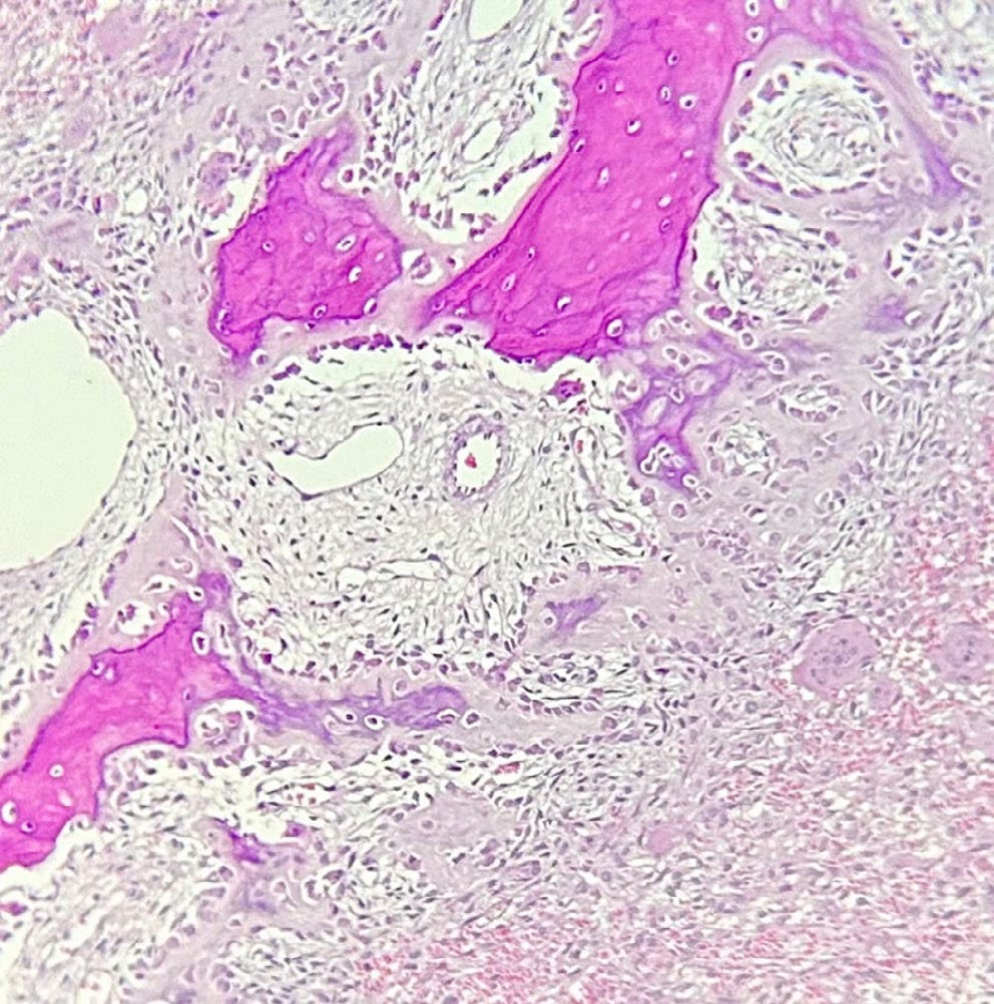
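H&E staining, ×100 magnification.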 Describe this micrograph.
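Irregular trabeculae of immature woven bone run through a cellular stroma of spindle cells. The bone matrix stains bright pink, with some purplish areas, and holds scattered cells in lacunae. Rows of plump, rounded osteoblasts line the edges of the trabeculae. Between the trabeculae, the stroma is made of loosely arranged spindle cells with oval nuclei, and it contains small vessels. Clear, empty, rounded spaces of varying size lie in the stroma, a large one at the left edge. In the lower right, red blood cells are spread among the stromal cells, and large pink multinucleated giant cells with clustered nuclei are seen.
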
